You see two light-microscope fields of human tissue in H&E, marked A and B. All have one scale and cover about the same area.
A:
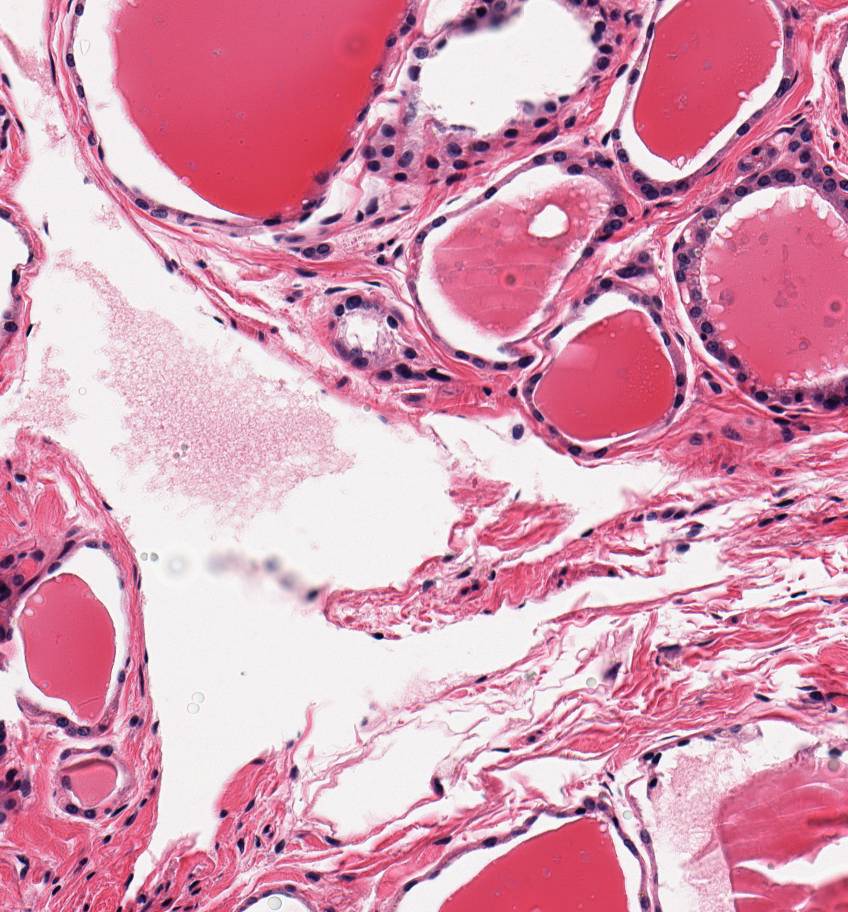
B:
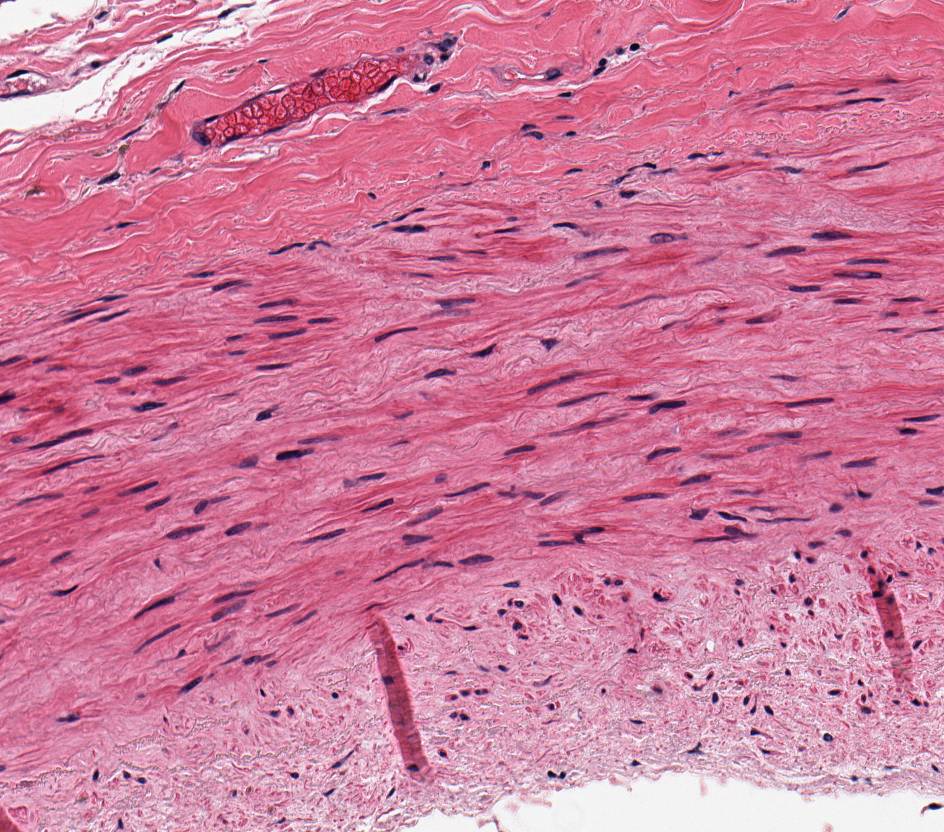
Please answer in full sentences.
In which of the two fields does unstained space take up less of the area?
Unstained space takes up less of picture B than of picture A.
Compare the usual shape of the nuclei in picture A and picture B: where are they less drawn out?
Rounder nuclei lie in picture A.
